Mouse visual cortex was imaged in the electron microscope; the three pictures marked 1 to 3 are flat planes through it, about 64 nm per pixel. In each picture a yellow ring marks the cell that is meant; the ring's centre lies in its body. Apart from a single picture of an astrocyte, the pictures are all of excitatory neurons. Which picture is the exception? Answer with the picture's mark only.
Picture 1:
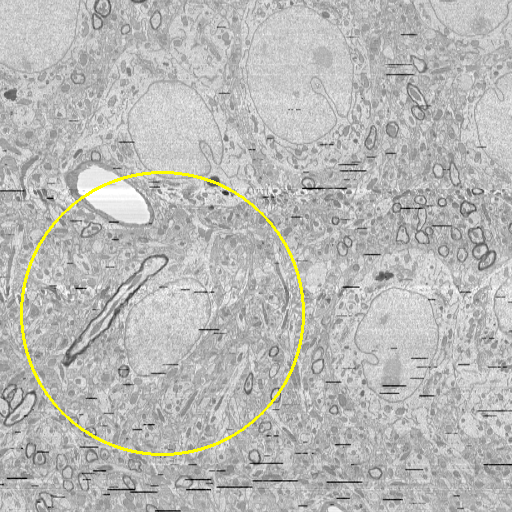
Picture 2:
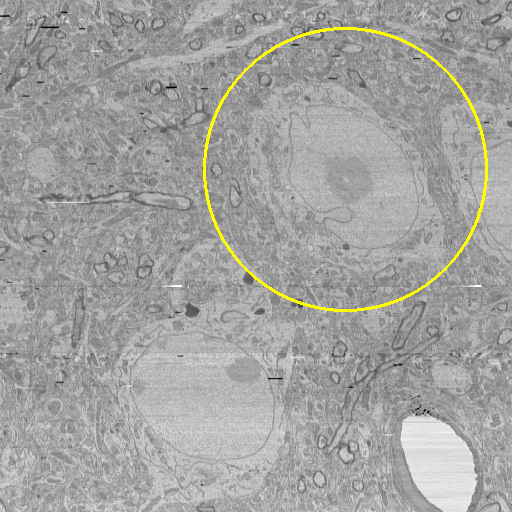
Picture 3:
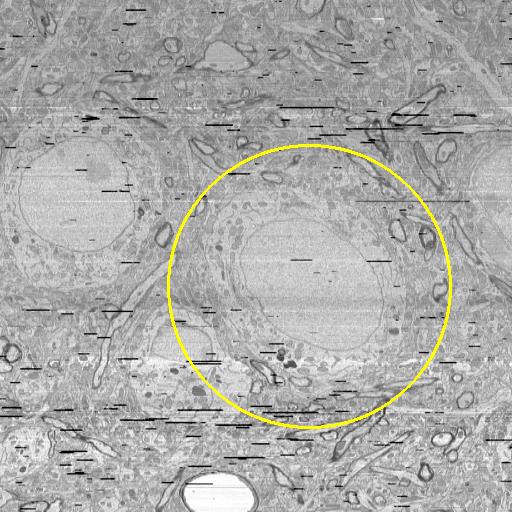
1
